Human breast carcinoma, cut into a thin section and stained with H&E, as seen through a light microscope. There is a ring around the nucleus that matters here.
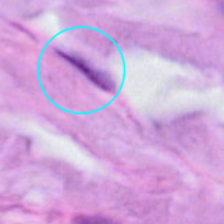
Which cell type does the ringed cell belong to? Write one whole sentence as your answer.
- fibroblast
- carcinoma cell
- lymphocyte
In this section of tissue, the ringed cell is a fibroblast.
